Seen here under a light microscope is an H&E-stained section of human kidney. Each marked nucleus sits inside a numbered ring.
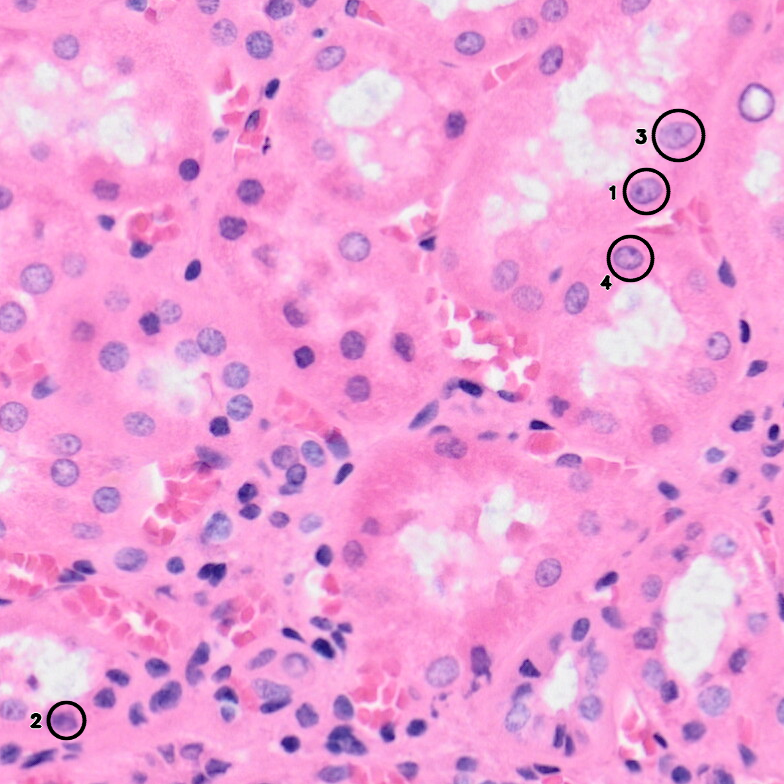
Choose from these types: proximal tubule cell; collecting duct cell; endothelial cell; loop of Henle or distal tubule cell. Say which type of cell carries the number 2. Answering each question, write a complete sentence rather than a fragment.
That cell with number 2 is a loop of Henle or distal tubule cell.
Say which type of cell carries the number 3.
Identified by the number 3, the cell is a proximal tubule cell.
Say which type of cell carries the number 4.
Among the marked cells, number 4 is a proximal tubule cell.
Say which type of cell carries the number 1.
The correct answer for cell 1 is a proximal tubule cell.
